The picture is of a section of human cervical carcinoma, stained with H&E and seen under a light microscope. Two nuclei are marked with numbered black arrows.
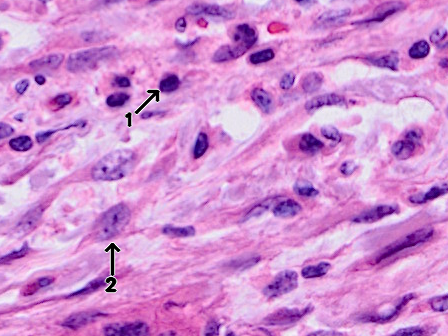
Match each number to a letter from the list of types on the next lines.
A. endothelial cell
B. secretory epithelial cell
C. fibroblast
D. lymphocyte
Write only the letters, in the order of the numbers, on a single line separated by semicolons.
D; C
